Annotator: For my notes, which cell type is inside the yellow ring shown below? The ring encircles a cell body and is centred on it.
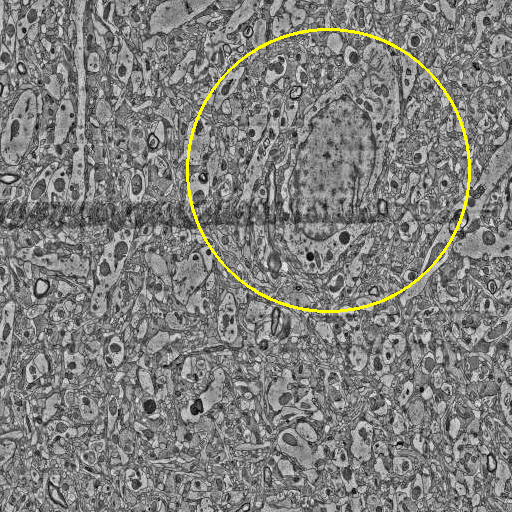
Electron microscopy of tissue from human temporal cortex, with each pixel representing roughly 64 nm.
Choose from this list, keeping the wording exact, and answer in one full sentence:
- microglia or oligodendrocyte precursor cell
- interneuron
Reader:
At the centre of the yellow ring there is an interneuron, as shown in the picture.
